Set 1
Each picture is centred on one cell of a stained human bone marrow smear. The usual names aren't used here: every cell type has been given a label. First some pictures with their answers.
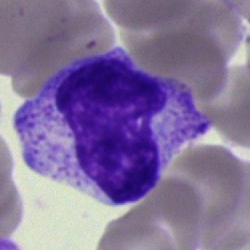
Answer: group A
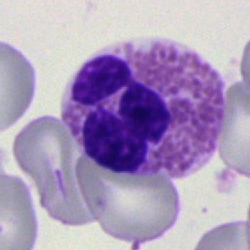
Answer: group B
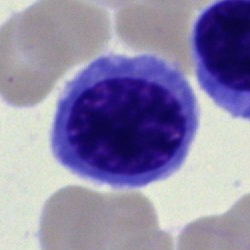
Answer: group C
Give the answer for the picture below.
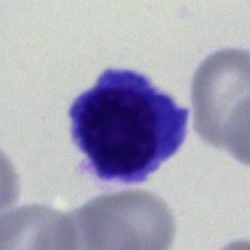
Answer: group C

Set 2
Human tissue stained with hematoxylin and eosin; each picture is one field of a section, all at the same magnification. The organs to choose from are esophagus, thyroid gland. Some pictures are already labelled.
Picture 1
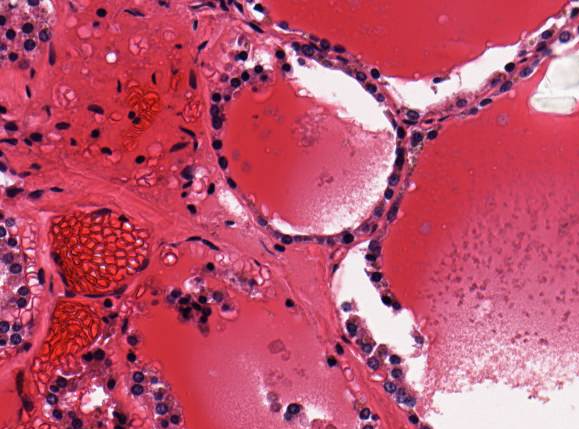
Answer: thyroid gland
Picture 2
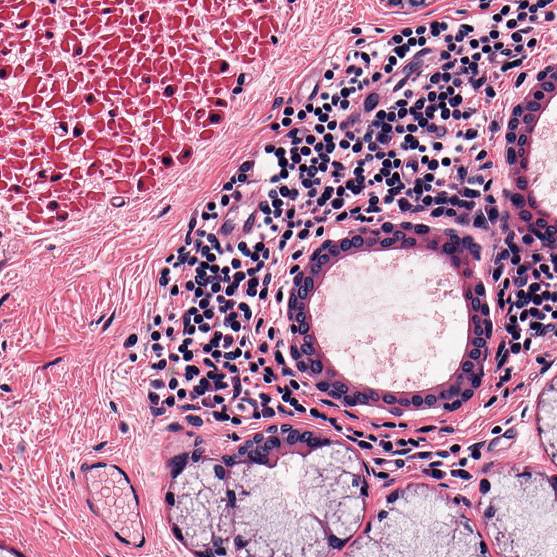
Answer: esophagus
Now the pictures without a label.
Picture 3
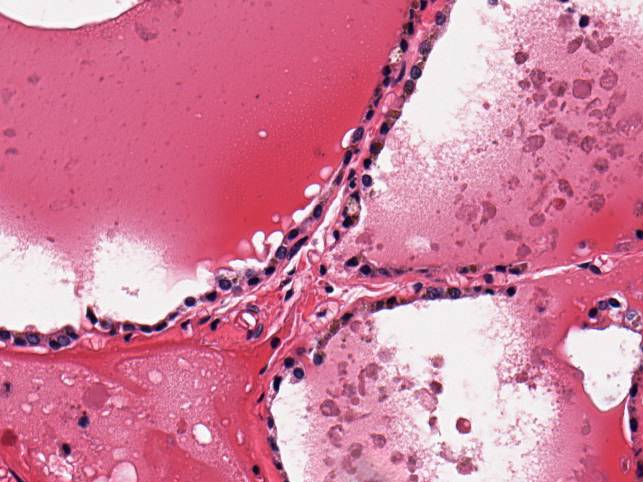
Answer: thyroid gland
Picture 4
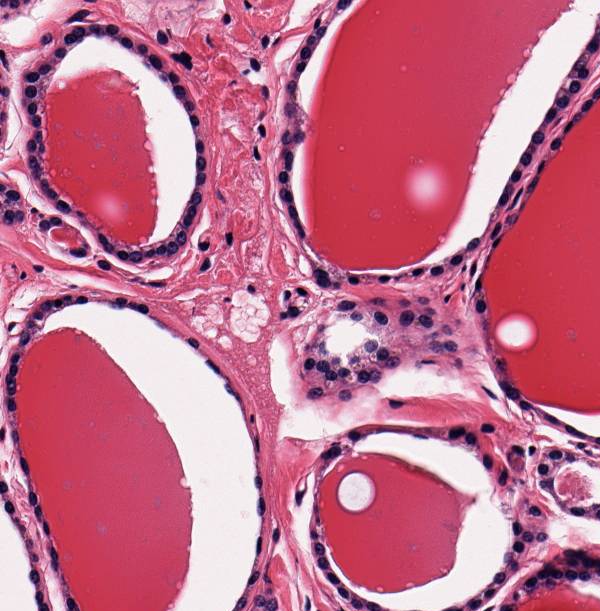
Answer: thyroid gland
